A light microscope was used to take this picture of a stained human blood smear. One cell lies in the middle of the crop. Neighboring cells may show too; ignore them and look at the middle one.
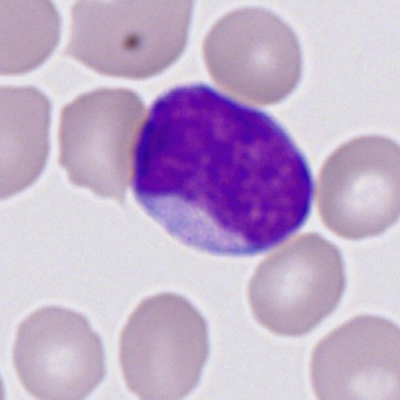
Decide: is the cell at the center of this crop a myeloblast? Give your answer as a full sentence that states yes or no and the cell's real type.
Yes, the cell at the very centre of the crop is a myeloblast.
